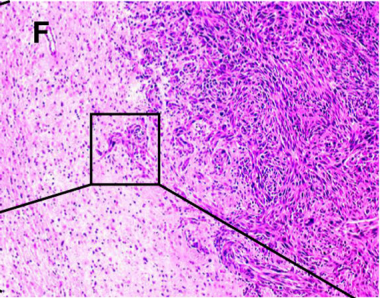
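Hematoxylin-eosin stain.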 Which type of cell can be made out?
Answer: viable tumor cells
